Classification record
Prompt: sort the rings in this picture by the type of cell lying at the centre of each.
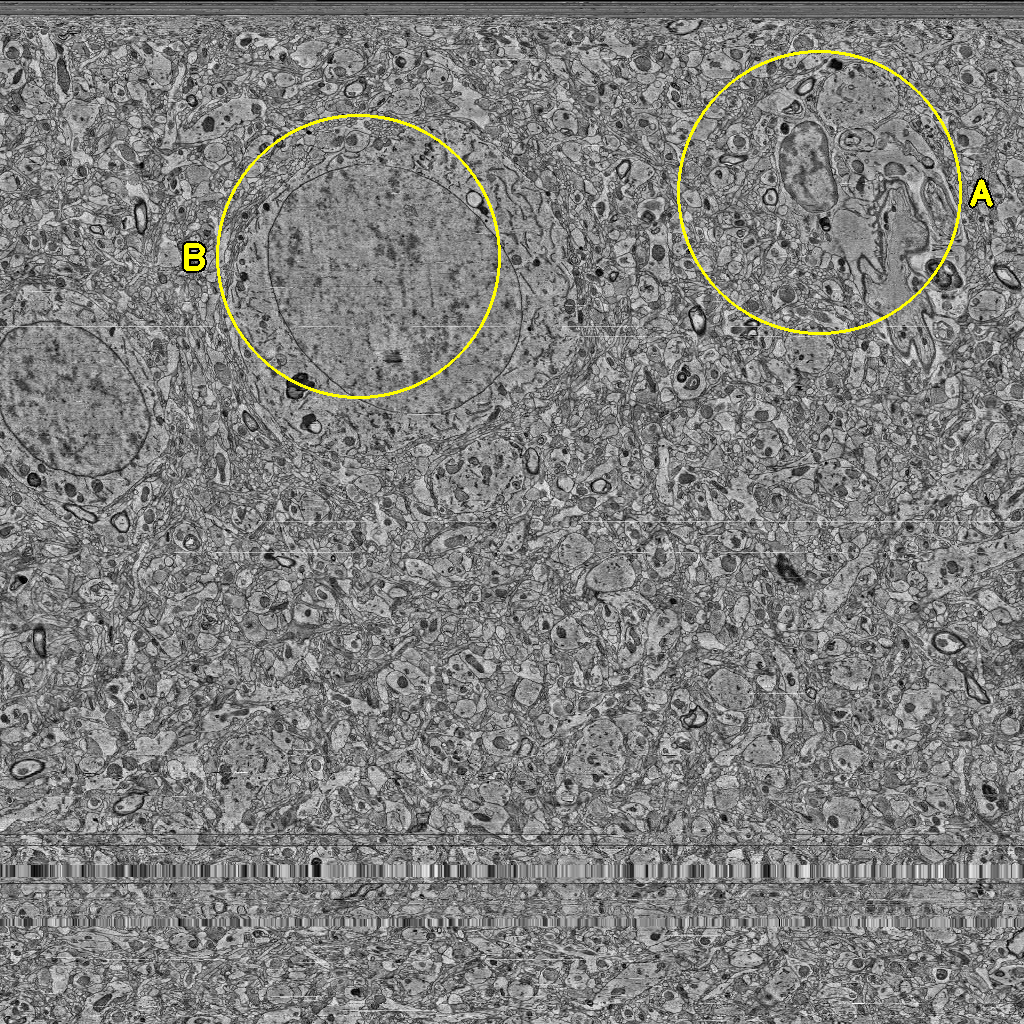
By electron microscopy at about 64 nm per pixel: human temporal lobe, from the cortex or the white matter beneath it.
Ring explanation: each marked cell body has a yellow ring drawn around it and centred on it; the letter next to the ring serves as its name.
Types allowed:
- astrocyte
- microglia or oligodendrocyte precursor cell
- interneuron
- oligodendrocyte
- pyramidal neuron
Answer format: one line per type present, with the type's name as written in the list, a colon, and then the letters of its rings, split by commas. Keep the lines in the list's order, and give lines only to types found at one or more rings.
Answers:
microglia or oligodendrocyte precursor cell: A
pyramidal neuron: B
